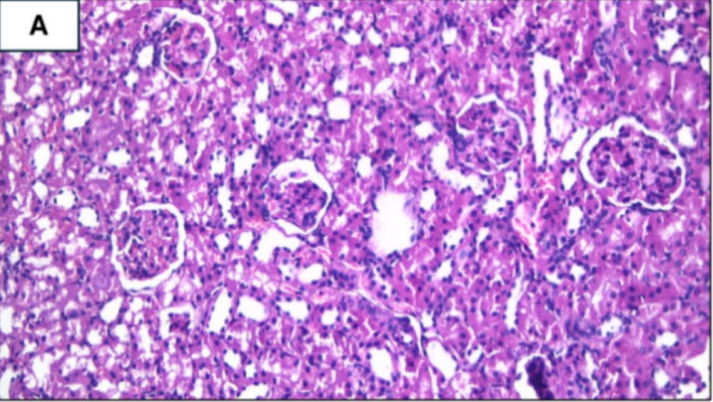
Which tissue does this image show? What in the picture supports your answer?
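Renal tissues. Several round glomerular tufts sit inside clear capsular spaces. The tufts are surrounded by closely packed tubules lined by pink cuboidal cells.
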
